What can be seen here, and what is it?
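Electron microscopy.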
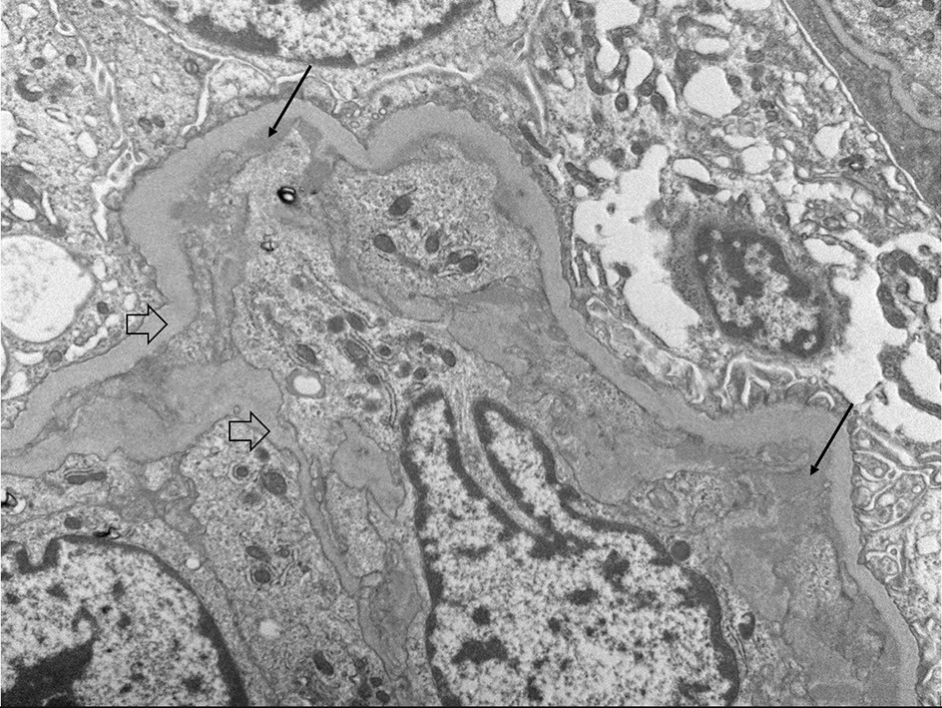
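This transmission electron micrograph shows a capillary wall in which a broad, smooth, medium-grey band of basement membrane curves across the field. In places, the band appears as more than one layer, with cell cytoplasm lying between the layers. Several cells are present, with large nuclei whose dark heterochromatin is clumped along the nuclear envelope, and with cytoplasm containing small dark mitochondria and vesicles. On the outer side of the band, at upper right, lie pale spaces bordered by many thin, interdigitating cell processes.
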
